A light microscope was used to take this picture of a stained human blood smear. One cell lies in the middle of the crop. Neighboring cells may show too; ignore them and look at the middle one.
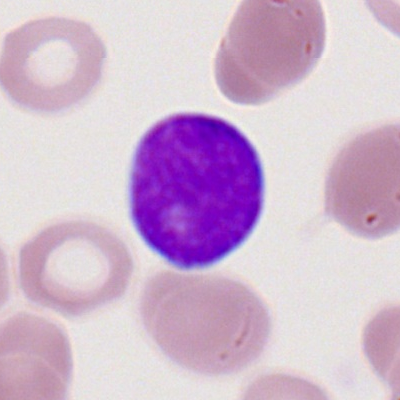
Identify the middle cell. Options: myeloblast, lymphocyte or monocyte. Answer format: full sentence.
Of the cells in this crop, the central one is a myeloblast.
